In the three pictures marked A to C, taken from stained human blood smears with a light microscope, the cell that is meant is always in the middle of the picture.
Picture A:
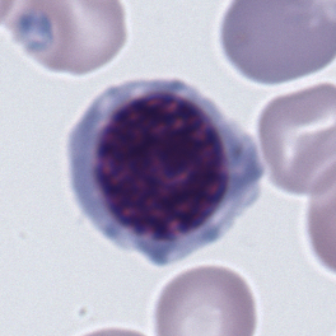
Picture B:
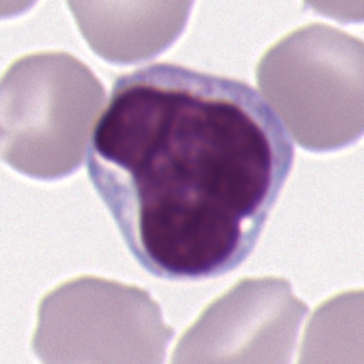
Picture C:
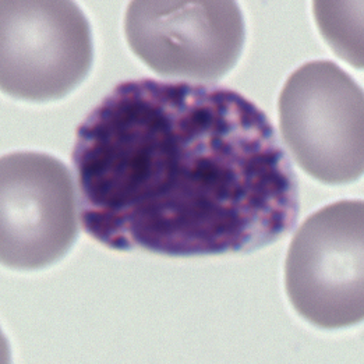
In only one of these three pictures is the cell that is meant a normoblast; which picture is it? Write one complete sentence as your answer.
The picture with the normoblast is A.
